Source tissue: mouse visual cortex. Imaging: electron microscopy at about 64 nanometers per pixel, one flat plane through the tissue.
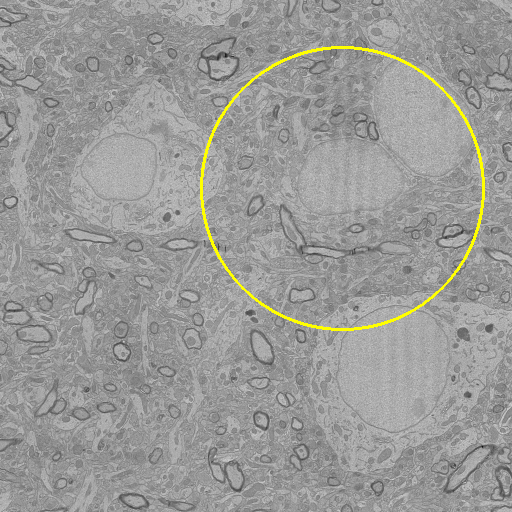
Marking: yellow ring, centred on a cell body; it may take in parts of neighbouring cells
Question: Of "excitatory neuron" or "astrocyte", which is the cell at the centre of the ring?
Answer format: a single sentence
The ring surrounds the body of an astrocyte.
